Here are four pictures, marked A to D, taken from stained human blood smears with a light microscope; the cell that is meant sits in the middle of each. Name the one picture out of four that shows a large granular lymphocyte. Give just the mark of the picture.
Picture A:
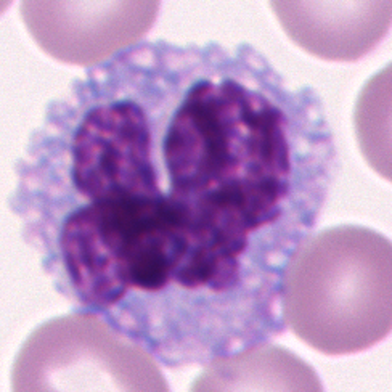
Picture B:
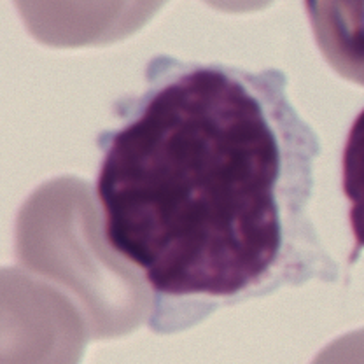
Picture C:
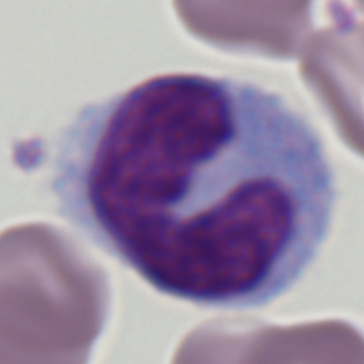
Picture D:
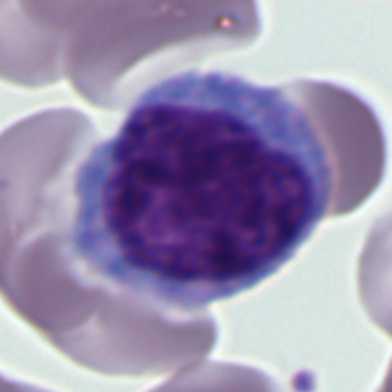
B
